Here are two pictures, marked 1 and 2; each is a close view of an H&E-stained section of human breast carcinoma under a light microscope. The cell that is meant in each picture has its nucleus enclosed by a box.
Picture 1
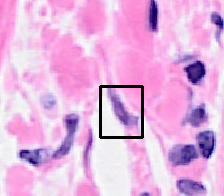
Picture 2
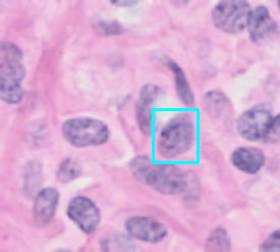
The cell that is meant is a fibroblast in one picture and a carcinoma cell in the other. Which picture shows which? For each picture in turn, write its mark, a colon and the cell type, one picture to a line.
1: fibroblast
2: carcinoma cell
